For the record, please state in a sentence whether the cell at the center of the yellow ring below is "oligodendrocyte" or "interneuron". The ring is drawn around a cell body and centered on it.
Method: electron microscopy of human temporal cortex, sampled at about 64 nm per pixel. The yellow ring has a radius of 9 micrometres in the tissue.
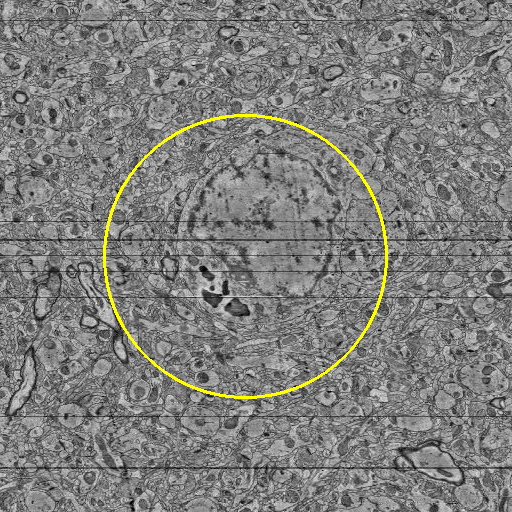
The cell at the ring's center is an interneuron.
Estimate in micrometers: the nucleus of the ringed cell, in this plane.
The nucleus measures about 10 micrometers across in this plane.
